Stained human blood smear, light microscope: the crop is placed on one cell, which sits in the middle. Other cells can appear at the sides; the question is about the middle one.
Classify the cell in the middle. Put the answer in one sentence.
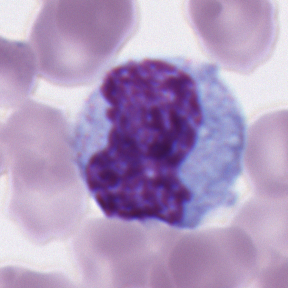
The cell positioned in the middle of the field is a monocyte.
